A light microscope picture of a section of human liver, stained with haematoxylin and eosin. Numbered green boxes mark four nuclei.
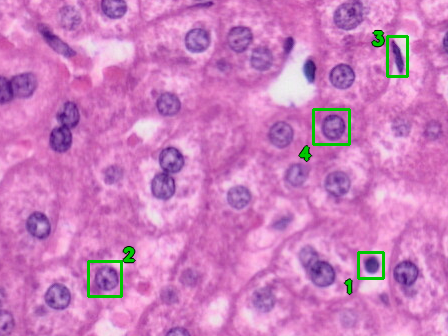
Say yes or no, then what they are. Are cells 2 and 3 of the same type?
No, cell 2 is a hepatocyte, while cell 3 is an endothelial cell.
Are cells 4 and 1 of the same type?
No, in contrast to cell 4, which is a hepatocyte, cell 1 is a lymphocyte.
